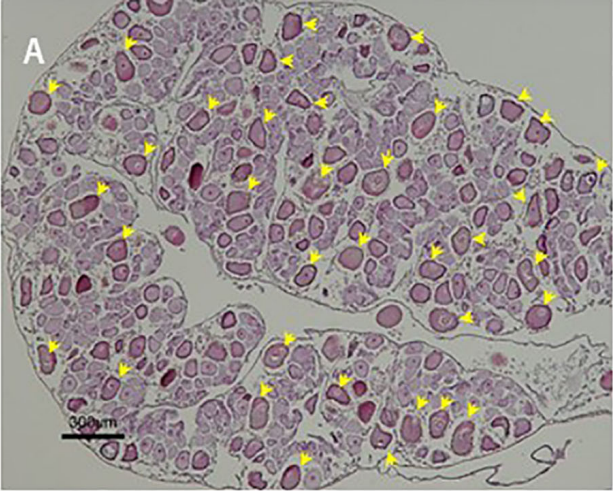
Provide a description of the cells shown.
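Ovary section with oocytes in follicles of many sizes packed in lobes separated by empty clefts and bounded by a thin outer wall. The smallest are polygonal, closely packed, with purple-staining cytoplasm. A few follicles stain deep red-purple throughout. Large and small follicles are intermingled across the lobes, with large rounded ones scattered widely.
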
